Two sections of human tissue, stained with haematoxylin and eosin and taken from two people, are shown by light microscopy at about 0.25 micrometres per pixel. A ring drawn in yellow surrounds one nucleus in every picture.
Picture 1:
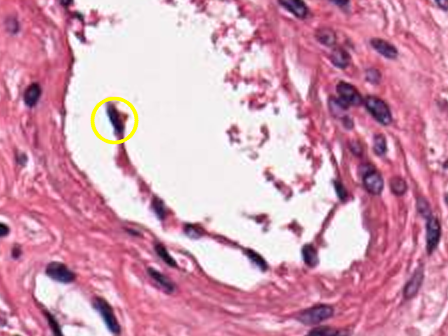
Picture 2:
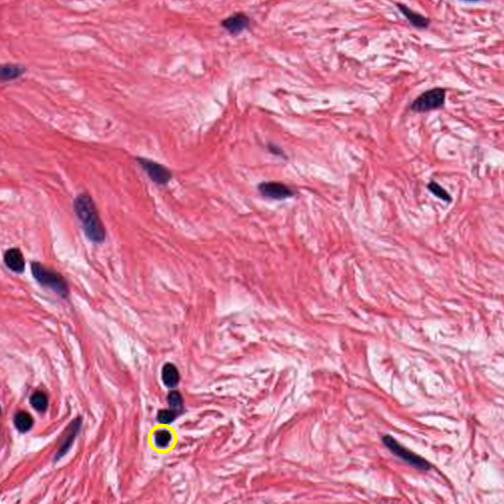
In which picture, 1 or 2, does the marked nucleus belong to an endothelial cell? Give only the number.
1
